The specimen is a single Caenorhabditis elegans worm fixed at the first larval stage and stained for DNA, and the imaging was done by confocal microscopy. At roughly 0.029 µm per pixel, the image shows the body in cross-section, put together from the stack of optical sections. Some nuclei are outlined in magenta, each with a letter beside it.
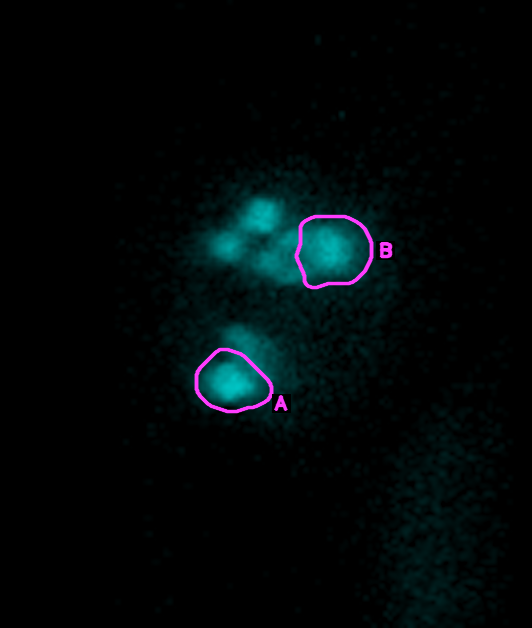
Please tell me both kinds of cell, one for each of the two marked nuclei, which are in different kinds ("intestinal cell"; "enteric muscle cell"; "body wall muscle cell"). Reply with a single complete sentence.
One is from a body wall muscle cell, namely A, and the other, B, is from an enteric muscle cell.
